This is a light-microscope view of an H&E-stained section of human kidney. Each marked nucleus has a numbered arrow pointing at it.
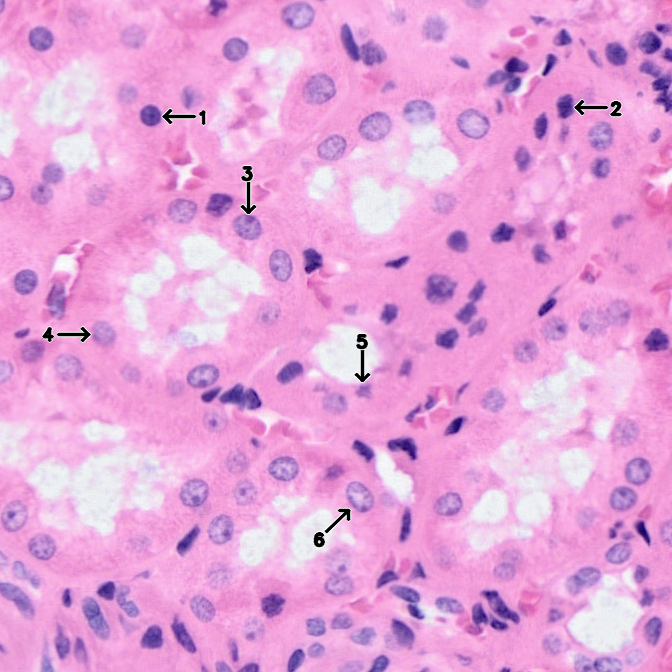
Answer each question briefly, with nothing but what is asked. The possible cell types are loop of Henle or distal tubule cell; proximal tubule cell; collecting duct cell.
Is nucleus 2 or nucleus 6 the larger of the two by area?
6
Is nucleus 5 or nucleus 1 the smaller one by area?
5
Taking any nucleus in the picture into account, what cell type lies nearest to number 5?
loop of Henle or distal tubule cell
